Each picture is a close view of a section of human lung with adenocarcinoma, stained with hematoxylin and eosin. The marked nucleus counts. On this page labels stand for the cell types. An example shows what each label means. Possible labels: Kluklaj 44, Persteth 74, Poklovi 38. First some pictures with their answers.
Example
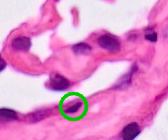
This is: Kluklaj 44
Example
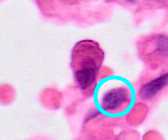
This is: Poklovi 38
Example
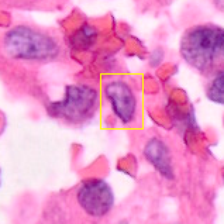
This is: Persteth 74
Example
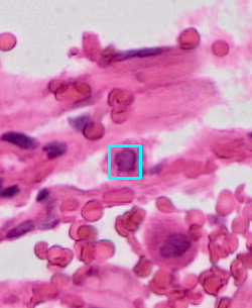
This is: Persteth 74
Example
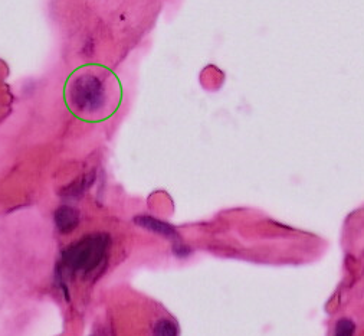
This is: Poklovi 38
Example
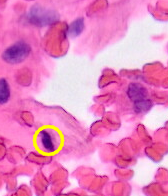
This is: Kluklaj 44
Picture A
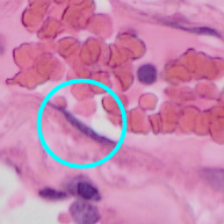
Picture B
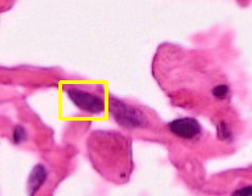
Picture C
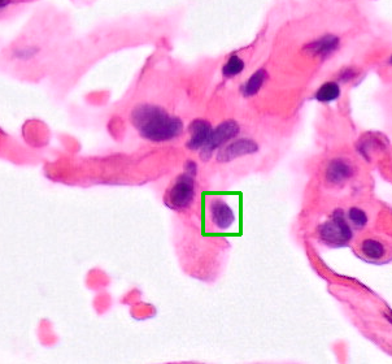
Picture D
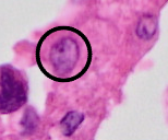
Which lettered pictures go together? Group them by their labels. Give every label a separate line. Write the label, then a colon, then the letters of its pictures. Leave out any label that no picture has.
Kluklaj 44: A
Persteth 74: D
Poklovi 38: B, C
